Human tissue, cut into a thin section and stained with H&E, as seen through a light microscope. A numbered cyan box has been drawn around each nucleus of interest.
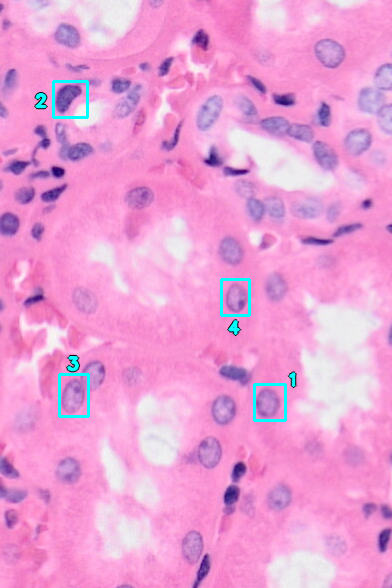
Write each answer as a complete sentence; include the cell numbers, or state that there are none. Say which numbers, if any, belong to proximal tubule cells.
The cells marked with the numbers 1, 3 and 4 are proximal tubule cells.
